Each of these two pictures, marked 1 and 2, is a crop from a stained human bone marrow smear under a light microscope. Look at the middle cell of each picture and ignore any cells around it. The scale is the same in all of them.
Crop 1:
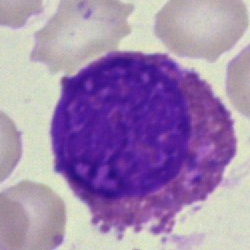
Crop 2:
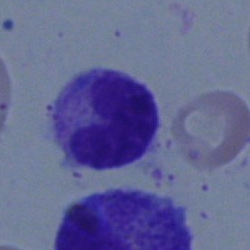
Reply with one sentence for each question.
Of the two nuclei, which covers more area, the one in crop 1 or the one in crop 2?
It is the nucleus in crop 1, about 3 times as large in area as the one in crop 2.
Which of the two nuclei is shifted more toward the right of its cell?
It is the nucleus in crop 2 that lies further toward the right of its cell.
